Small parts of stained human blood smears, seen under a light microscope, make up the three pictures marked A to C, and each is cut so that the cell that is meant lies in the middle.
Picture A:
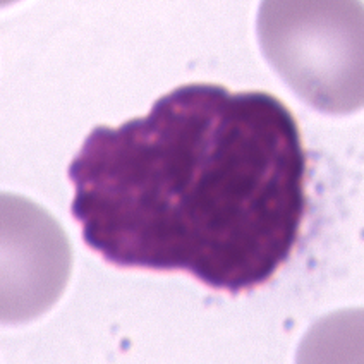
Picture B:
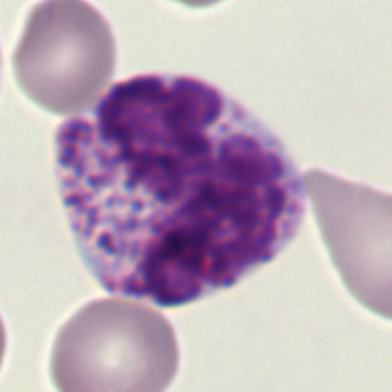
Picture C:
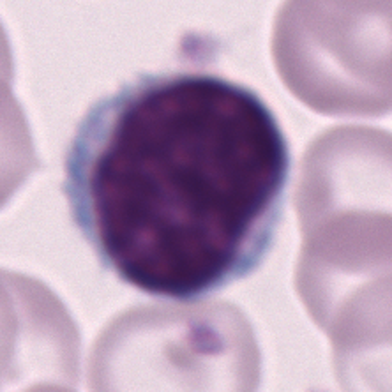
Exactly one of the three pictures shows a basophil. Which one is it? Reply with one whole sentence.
The picture with the basophil is B.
